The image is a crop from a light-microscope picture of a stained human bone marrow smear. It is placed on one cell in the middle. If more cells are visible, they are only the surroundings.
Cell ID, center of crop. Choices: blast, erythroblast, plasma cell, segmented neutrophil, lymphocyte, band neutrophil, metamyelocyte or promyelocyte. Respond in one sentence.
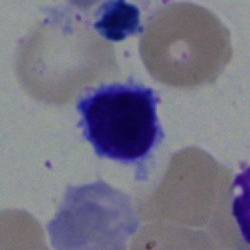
Within this crop, a lymphocyte occupies the central position.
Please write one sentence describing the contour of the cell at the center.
An irregular outline, ragged or marked by projections, surrounds this cell.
